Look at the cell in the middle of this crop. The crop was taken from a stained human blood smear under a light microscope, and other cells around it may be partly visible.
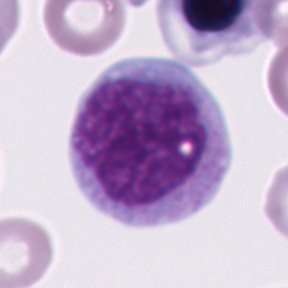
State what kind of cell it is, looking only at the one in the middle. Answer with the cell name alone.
monocyte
